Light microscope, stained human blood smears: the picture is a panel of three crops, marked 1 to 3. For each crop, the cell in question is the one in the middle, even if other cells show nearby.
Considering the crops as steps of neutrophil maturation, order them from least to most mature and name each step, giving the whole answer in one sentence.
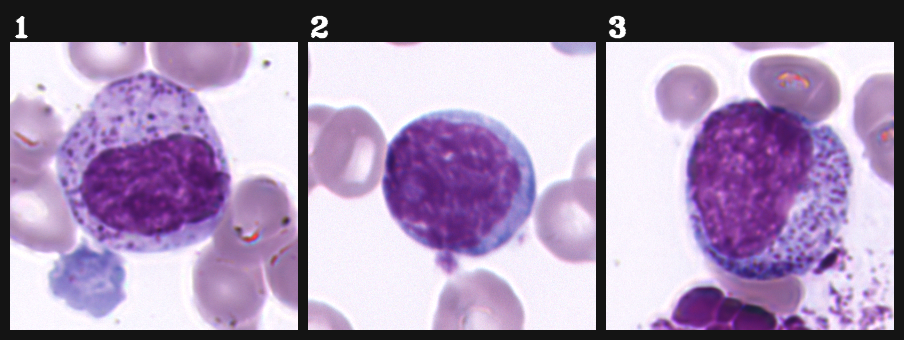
From the earliest stage onward, the order is crop 2 (a blast), crop 3 (a promyelocyte) and crop 1 (a myelocyte).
